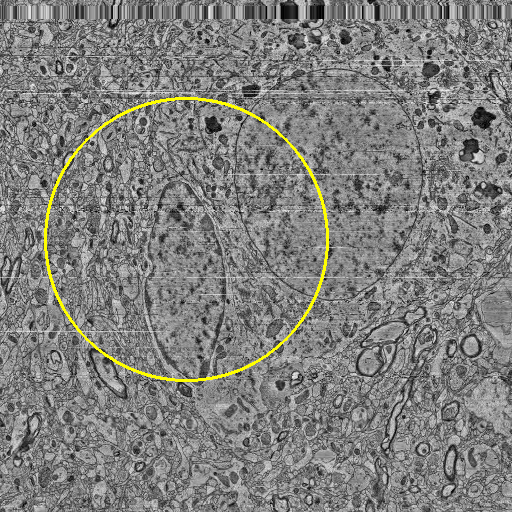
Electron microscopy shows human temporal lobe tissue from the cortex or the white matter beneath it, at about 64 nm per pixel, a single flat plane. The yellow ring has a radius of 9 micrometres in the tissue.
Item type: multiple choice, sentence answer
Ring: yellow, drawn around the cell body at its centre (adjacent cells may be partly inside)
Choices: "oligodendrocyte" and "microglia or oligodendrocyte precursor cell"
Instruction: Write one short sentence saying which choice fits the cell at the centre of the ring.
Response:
This ring is drawn around a microglial cell or oligodendrocyte precursor cell.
